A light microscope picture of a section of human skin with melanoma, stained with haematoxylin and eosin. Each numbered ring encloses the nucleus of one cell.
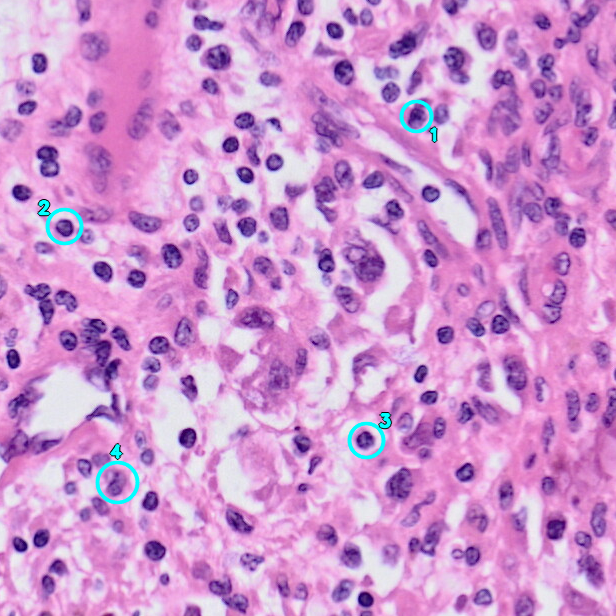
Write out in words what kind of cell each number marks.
Cells 1, 2 and 3 are lymphocytes. Cell 4 is a macrophage or monocyte.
